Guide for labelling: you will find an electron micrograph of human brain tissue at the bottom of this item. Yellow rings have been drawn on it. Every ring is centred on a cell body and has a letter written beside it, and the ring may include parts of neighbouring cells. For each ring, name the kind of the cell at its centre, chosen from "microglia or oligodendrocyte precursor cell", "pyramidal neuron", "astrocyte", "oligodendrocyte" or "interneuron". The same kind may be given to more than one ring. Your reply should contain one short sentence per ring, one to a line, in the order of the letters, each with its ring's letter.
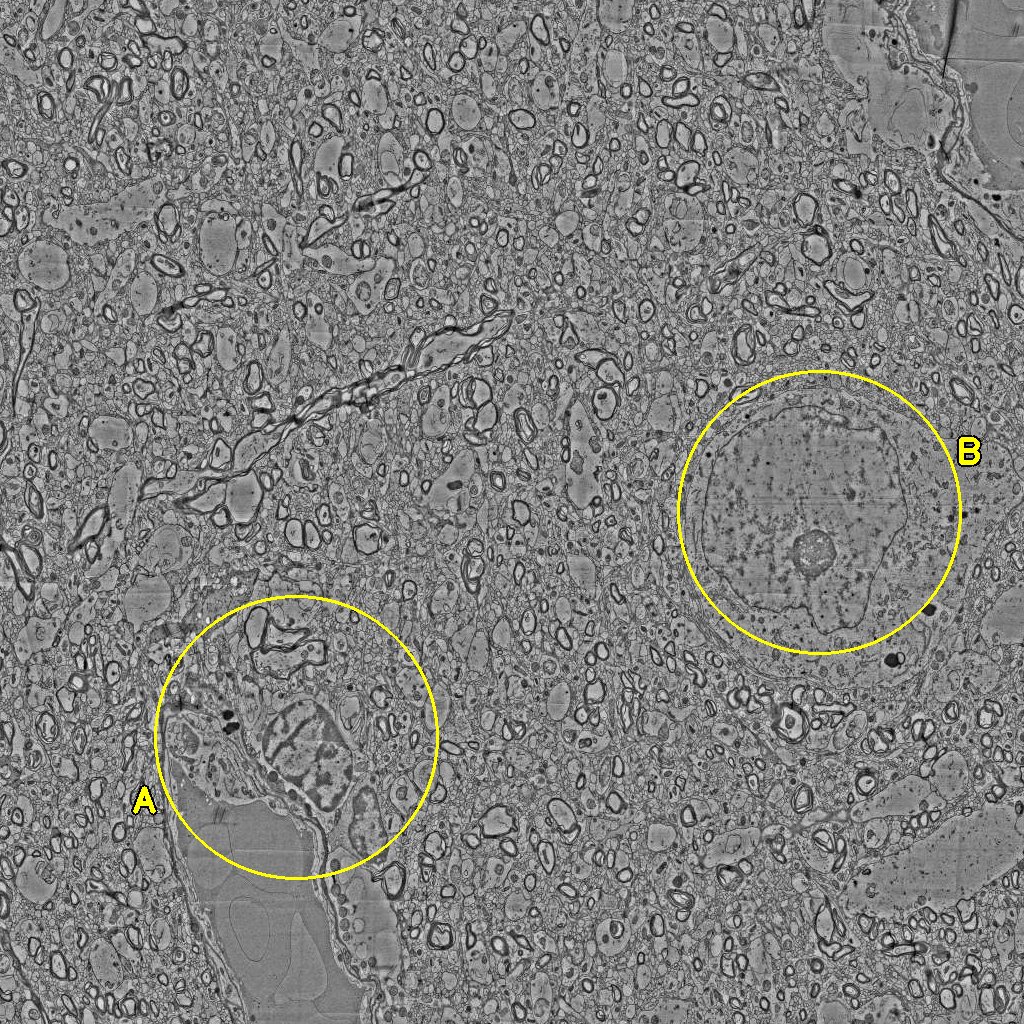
Ring A is centred on the body of a microglial cell or oligodendrocyte precursor cell.
Ring B is centred on the body of a pyramidal neuron.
